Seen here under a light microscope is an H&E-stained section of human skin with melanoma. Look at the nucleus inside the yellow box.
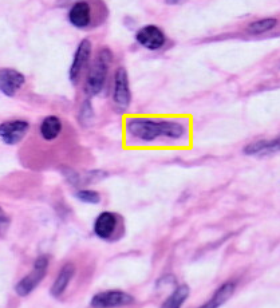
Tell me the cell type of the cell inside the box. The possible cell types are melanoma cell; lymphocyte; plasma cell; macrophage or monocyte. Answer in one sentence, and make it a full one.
Cytologically, the cell inside the box is to be regarded as a macrophage or monocyte.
